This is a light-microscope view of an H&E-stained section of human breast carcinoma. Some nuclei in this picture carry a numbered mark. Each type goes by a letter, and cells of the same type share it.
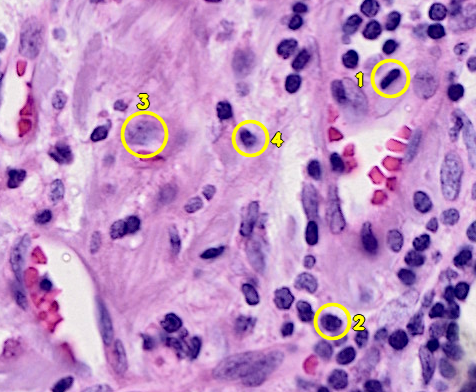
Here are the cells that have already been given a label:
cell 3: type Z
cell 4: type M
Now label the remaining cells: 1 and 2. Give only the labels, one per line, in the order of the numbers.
type M
type M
